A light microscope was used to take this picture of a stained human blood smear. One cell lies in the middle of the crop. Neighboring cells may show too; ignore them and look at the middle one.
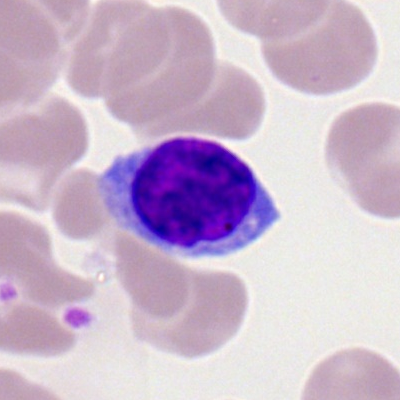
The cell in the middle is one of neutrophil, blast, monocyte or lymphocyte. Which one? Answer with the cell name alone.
lymphocyte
